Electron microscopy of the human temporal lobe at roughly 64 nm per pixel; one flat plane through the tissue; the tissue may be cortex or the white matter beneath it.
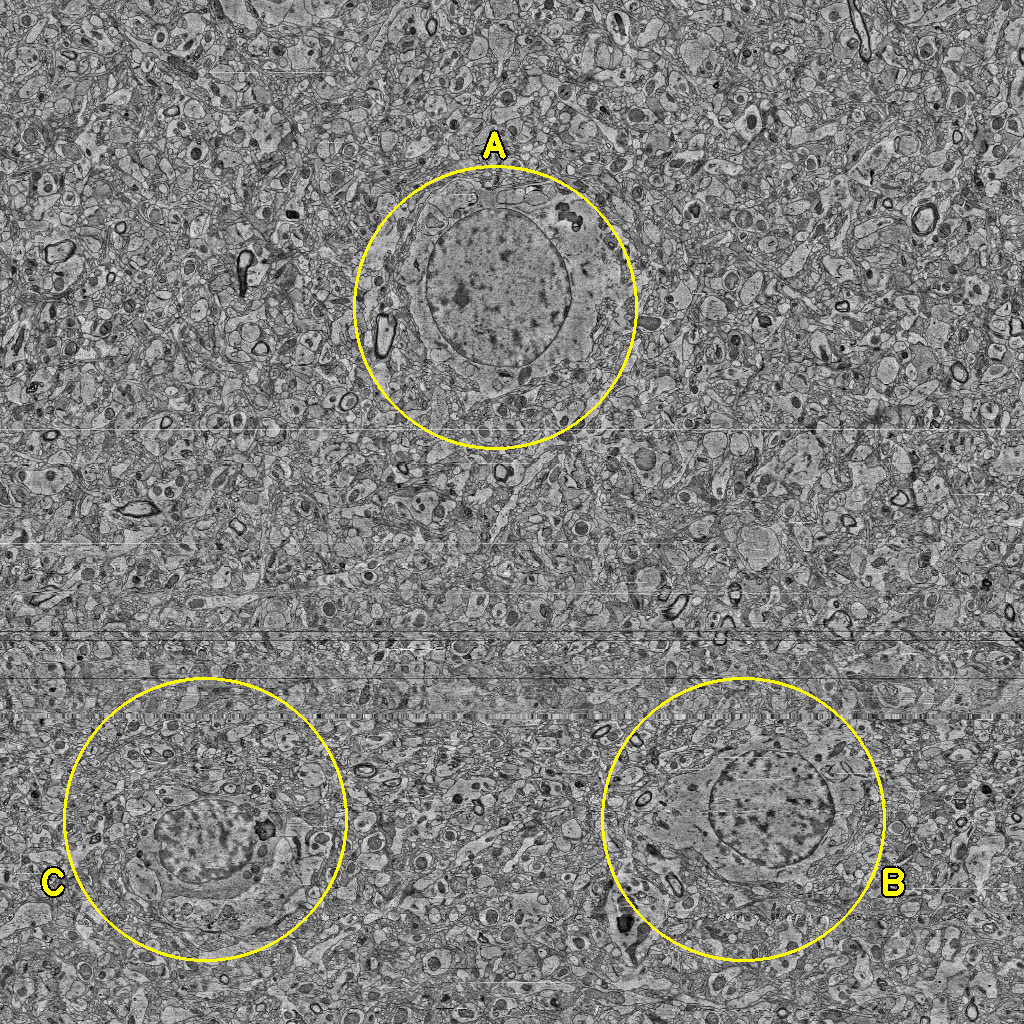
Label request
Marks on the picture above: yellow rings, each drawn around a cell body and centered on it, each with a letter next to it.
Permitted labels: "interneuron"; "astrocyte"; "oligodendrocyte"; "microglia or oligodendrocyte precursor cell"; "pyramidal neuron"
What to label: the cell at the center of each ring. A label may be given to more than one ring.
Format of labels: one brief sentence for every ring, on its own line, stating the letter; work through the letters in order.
The cell at the center of ring A is an astrocyte.
The cell at the center of ring B is an astrocyte.
The cell at the center of ring C is an oligodendrocyte.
